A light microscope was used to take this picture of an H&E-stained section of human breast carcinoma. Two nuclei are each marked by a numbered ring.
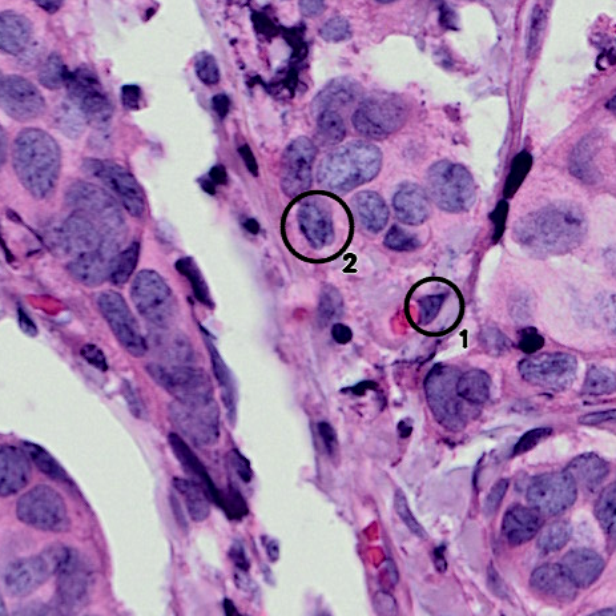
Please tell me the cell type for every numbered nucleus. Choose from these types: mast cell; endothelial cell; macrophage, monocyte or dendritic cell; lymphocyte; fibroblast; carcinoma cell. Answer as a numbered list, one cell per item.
1. endothelial cell
2. carcinoma cell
